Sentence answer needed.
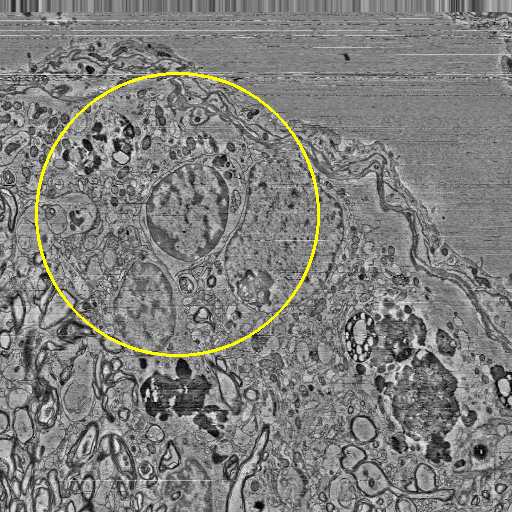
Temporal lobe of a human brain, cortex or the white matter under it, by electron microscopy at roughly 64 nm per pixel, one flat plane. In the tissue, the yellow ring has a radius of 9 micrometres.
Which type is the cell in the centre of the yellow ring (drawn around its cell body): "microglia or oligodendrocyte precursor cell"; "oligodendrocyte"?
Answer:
In the centre of the yellow ring is a microglial cell or oligodendrocyte precursor cell.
